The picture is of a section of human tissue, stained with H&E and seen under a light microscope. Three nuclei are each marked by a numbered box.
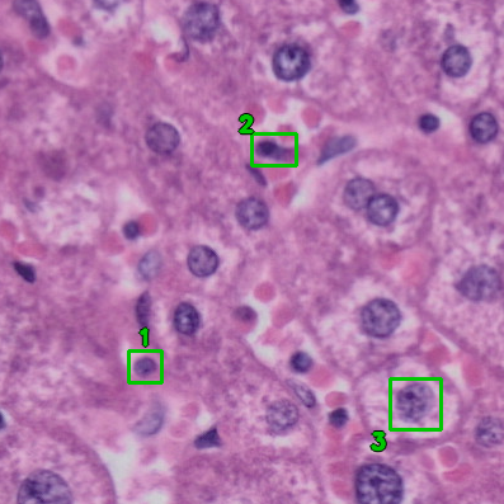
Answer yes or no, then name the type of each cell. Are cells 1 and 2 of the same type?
Yes, it is true that cells 1 and 2 are both lymphocytes.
